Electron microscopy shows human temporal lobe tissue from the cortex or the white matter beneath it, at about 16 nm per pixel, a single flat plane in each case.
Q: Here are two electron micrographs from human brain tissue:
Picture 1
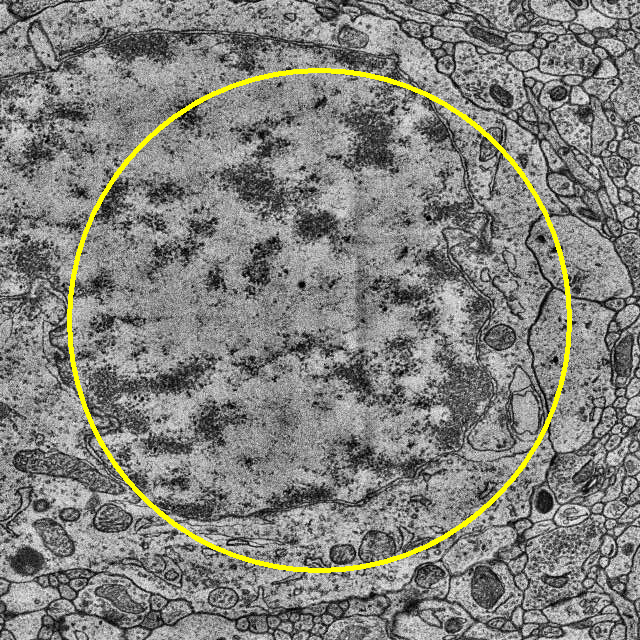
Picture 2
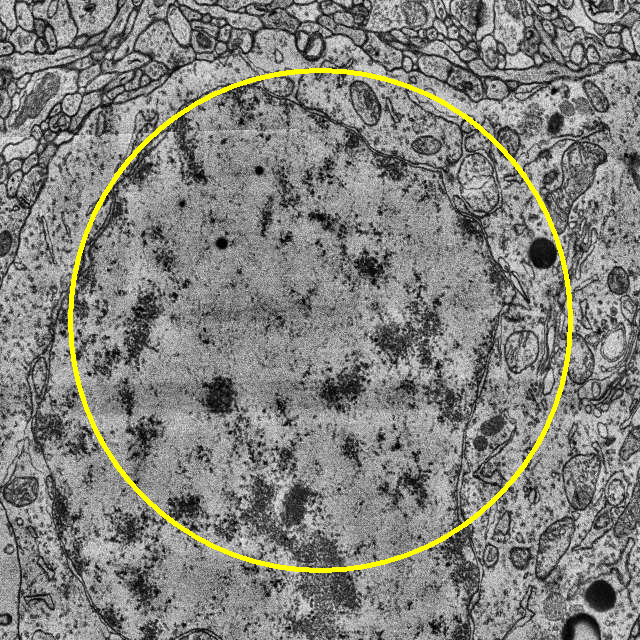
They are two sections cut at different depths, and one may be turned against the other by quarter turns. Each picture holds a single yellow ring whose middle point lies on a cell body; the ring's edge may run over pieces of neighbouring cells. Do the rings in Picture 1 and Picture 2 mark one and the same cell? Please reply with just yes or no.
yes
